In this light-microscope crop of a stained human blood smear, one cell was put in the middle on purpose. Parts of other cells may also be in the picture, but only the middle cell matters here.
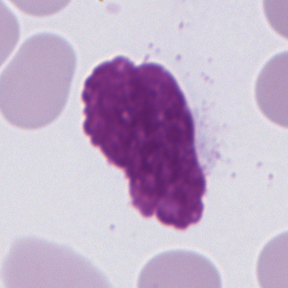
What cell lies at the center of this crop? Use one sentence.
This particular crop is centered on a smudge cell.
